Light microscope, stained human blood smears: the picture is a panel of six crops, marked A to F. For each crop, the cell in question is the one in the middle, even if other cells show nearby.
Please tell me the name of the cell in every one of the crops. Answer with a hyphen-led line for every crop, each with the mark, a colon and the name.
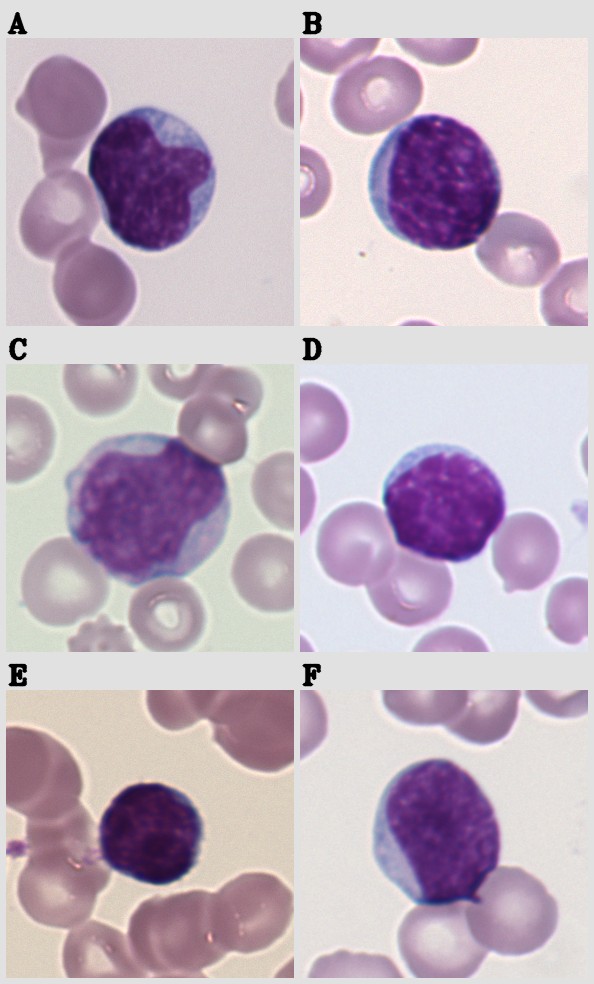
- A: myeloblast
- B: myeloblast
- C: atypical promyelocyte
- D: typical lymphocyte
- E: typical lymphocyte
- F: myeloblast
